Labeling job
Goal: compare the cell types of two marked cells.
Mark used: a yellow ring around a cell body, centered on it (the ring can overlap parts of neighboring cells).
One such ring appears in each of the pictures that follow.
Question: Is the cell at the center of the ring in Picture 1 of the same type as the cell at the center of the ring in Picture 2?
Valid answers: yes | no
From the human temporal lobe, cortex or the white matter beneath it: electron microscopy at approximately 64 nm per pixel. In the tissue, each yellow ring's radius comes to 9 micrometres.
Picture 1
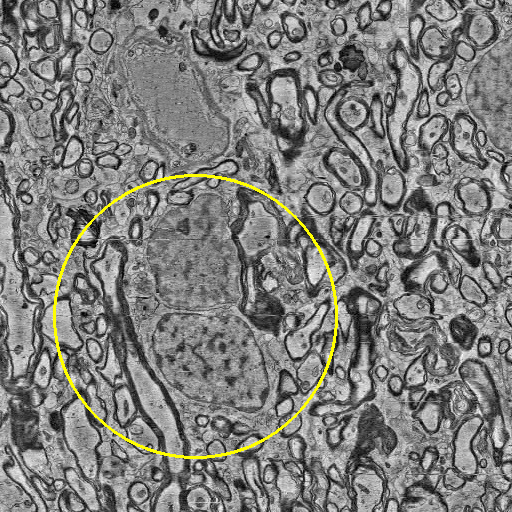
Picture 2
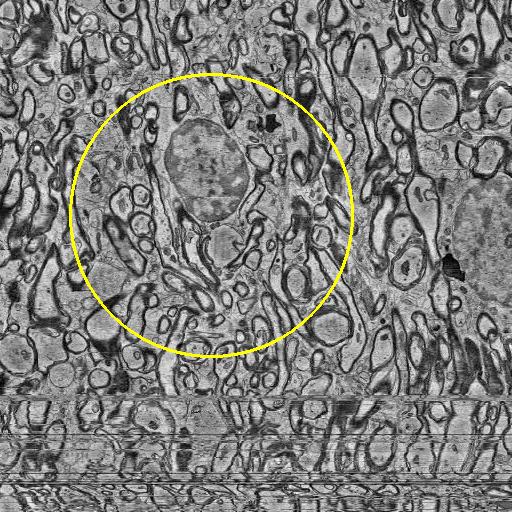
yes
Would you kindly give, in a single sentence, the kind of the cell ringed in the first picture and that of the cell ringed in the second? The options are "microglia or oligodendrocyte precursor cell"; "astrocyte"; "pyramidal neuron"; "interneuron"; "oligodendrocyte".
The first and the second cell are each a microglial cell or oligodendrocyte precursor cell.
